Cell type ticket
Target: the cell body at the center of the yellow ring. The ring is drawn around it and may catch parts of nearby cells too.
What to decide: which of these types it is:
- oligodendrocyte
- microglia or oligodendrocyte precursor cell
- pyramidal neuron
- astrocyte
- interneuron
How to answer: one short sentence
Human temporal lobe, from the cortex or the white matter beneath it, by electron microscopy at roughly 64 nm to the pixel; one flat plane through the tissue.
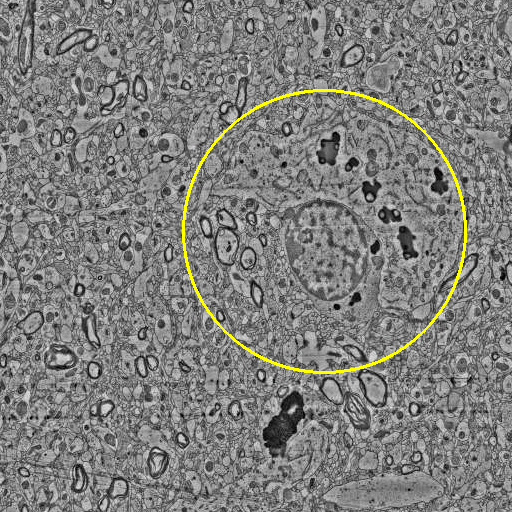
The cell at the center of the ring is an oligodendrocyte.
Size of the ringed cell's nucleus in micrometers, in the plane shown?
Approximately 6 micrometres long and 5 micrometres wide, in this plane.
